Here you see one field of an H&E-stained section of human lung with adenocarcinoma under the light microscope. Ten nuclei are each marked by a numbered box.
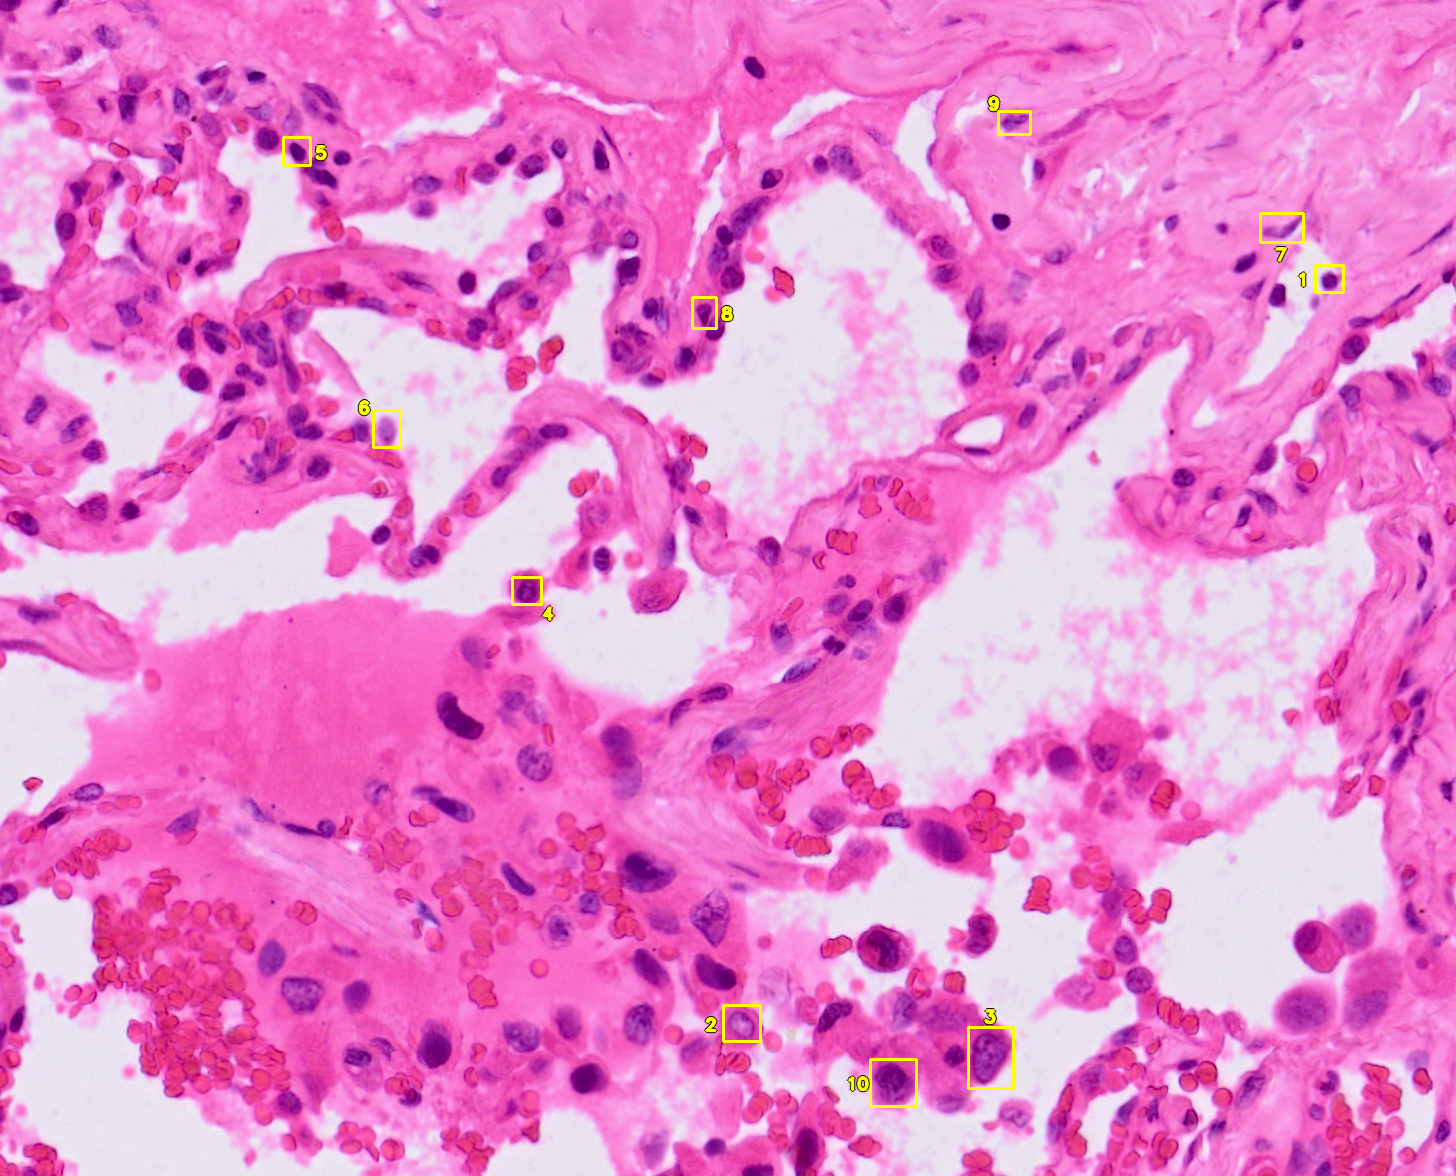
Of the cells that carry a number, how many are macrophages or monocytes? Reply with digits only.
2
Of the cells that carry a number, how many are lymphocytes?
3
